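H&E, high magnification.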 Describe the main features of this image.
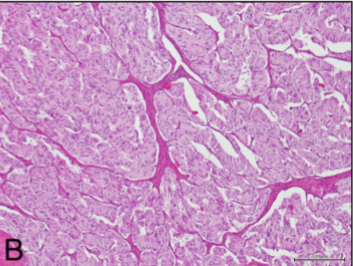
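The cells are polygonal, with a moderate amount of pale pink cytoplasm and round to oval purple nuclei of fairly even size. They lie packed together in nests and lobules. Thin, brighter pink bands of connective tissue run between the nests and divide the field into compartments. Narrow clear clefts separate some groups of cells from one another. No glands or lumens are formed. The overall look is of sheets and nests of rather uniform cells held apart by a fine stroma.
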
